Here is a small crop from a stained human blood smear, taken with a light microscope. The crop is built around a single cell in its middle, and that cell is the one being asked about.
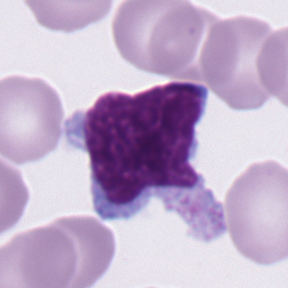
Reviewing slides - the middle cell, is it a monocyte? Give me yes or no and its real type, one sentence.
No, the central cell is properly termed a large granular lymphocyte, not a monocyte.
